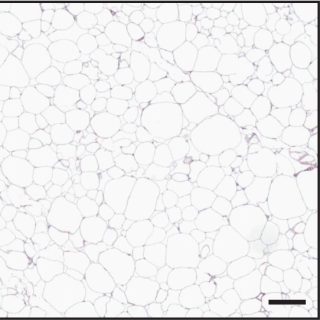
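This shows adipose tissue packed with adipocytes, seen as clear, empty polygonal profiles outlined by thin pale membranes. The cells fit tightly together in a honeycomb-like arrangement with very little space between them. Sizes vary from small to fairly large cells scattered throughout the field.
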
